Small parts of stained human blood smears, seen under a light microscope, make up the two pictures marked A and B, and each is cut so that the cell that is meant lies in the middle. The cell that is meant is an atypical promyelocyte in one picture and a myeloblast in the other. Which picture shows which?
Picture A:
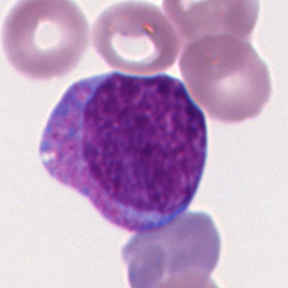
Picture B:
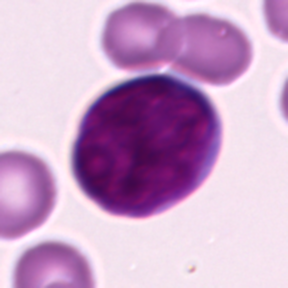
A: atypical promyelocyte
B: myeloblast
